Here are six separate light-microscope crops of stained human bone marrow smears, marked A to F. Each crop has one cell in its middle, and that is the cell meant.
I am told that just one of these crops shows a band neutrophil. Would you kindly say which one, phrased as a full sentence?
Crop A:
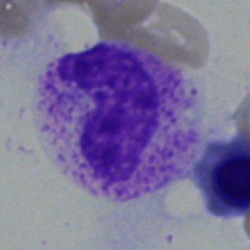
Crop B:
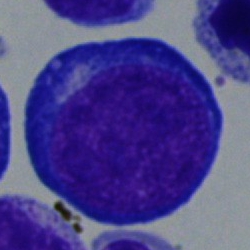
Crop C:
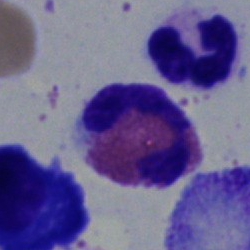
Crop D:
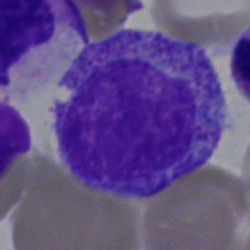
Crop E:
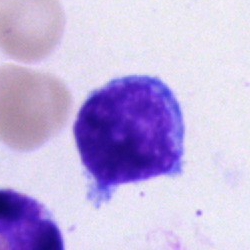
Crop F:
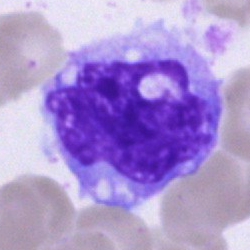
Only in crop A is a band neutrophil shown.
